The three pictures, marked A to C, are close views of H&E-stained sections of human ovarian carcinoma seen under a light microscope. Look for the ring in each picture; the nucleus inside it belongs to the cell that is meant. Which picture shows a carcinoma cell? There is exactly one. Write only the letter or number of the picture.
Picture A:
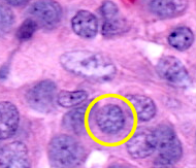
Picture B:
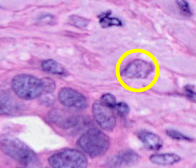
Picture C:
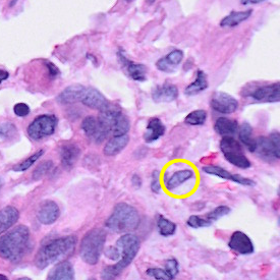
A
